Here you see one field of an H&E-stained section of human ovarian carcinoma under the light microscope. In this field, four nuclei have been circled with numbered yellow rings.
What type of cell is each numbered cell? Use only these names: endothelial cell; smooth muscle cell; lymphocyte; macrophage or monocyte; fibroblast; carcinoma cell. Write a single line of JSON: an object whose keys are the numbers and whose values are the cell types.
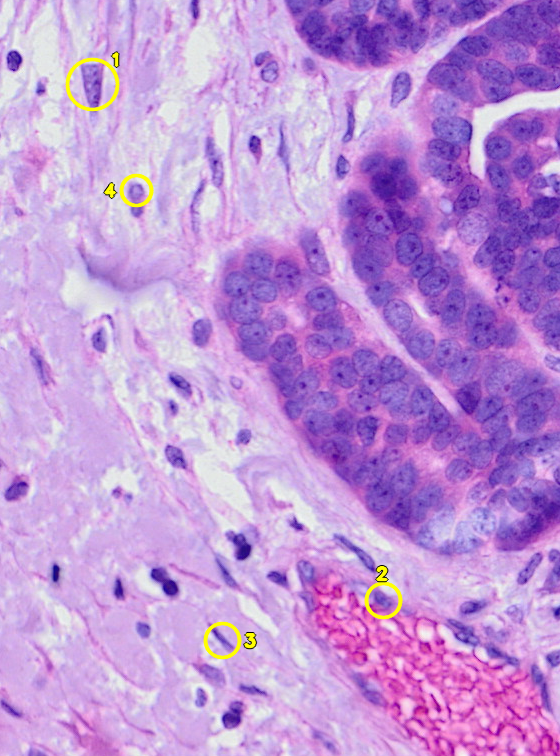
{"1": "fibroblast", "2": "endothelial cell", "3": "fibroblast", "4": "macrophage or monocyte"}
